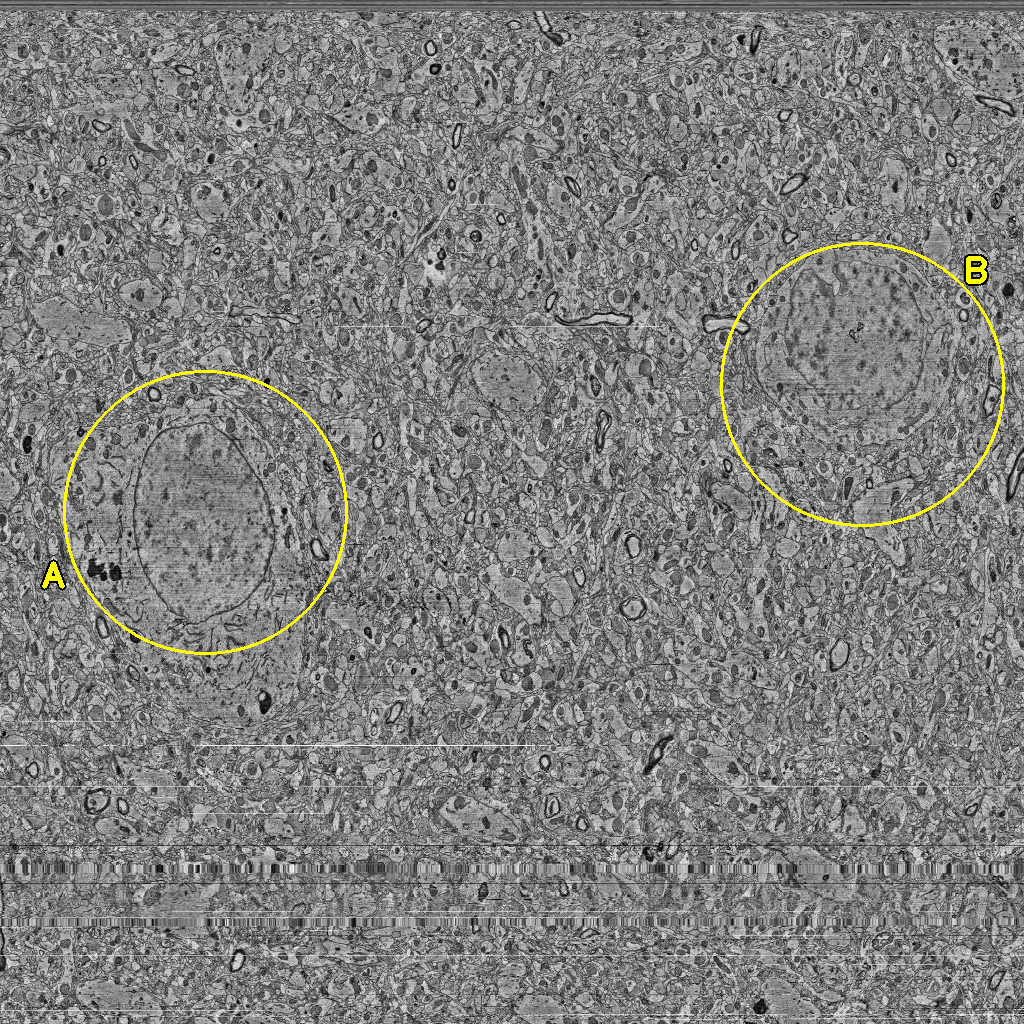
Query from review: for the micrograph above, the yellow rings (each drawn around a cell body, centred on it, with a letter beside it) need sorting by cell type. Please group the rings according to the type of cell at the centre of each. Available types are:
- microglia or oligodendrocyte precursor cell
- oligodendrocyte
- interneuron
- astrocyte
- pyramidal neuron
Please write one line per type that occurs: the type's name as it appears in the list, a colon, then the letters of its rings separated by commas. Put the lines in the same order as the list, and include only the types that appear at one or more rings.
interneuron: B
pyramidal neuron: A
